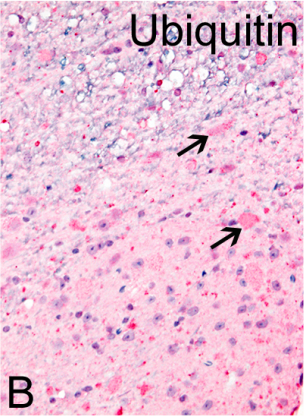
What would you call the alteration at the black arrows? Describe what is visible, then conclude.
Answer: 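Dystrophic axons/neurites. The arrows point to rounded swollen profiles stained pink-red. Similar rounded stained profiles are scattered throughout the tissue.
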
